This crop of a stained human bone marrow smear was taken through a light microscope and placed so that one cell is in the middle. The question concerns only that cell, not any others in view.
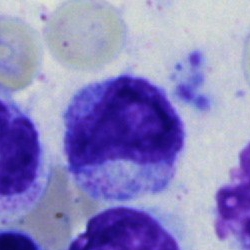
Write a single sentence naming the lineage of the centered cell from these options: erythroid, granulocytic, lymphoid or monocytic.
The central cell is regarded as belonging to the monocytic lineage.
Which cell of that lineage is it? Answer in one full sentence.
The single cell at the center of the crop is a monocyte.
